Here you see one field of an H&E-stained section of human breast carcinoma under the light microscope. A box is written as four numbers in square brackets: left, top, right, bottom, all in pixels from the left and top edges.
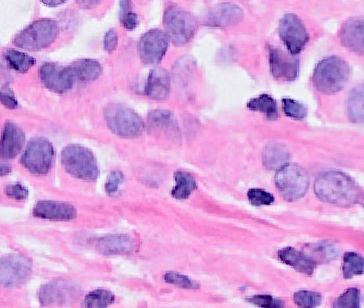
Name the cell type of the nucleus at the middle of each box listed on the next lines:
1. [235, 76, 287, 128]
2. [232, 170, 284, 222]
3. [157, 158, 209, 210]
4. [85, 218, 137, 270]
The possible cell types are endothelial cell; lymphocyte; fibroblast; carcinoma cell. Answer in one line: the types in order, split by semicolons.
lymphocyte; lymphocyte; lymphocyte; fibroblast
